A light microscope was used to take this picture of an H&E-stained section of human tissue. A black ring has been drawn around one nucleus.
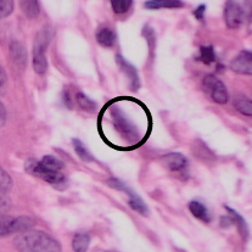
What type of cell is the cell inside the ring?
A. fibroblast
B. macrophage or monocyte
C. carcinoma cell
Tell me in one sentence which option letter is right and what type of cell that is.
Option A gets it right: the cell inside the ring is a fibroblast.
